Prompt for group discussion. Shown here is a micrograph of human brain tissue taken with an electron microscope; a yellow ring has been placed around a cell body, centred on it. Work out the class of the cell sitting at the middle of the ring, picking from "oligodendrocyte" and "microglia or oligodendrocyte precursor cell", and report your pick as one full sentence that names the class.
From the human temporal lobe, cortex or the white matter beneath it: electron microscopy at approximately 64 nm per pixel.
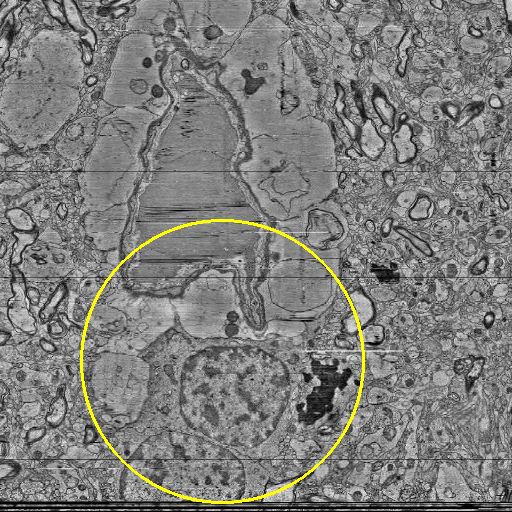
The cell sitting at the middle of the yellow ring is an oligodendrocyte.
